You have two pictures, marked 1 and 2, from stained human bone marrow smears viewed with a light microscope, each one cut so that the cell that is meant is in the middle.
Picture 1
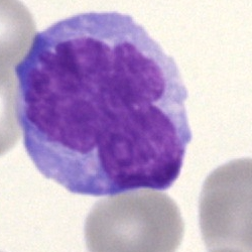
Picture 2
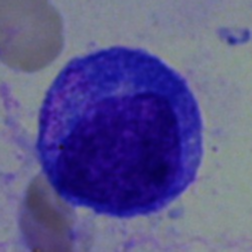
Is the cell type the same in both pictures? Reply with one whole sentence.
No, picture 1 shows a blast and picture 2 shows a promyelocyte.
